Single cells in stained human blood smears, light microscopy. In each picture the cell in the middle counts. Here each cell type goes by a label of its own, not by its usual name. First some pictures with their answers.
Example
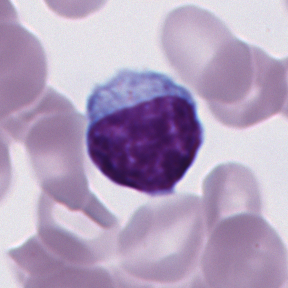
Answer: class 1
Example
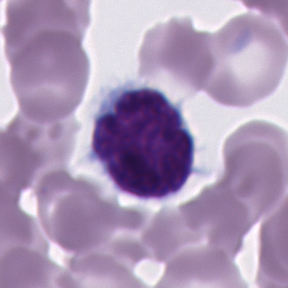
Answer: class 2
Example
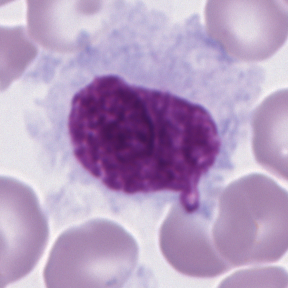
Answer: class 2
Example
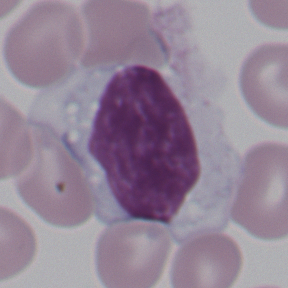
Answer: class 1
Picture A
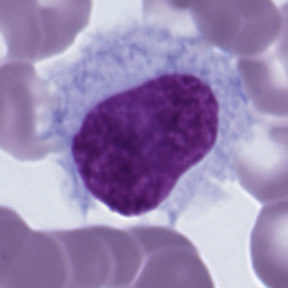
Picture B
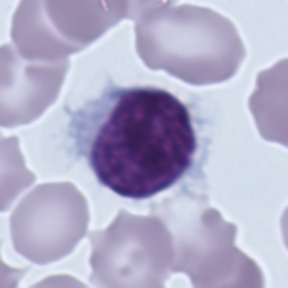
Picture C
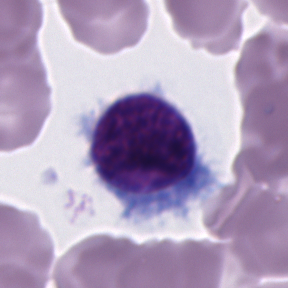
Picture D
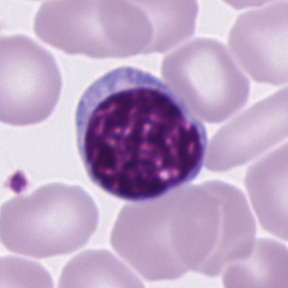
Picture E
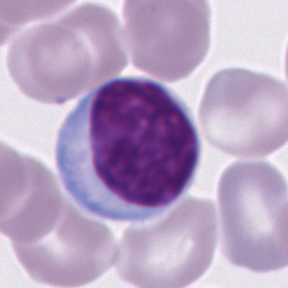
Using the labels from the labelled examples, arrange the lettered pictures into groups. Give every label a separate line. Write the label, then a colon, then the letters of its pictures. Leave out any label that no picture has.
class 1: D, E
class 2: A, B, C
